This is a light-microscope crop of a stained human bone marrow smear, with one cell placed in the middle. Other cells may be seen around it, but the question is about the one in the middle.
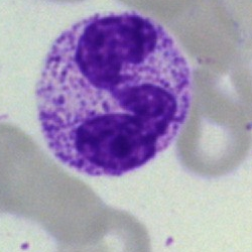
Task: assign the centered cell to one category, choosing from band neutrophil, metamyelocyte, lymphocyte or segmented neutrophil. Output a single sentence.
The cell marked by its central position in the crop is a segmented neutrophil.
